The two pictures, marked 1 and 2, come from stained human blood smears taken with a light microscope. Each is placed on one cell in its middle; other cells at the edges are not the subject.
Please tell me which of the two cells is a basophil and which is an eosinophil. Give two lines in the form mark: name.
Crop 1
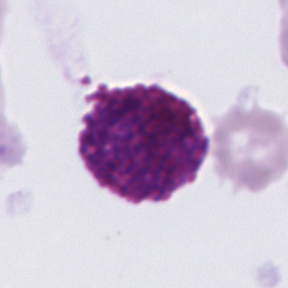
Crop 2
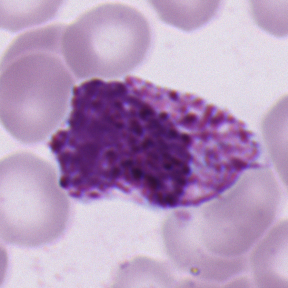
1: eosinophil
2: basophil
